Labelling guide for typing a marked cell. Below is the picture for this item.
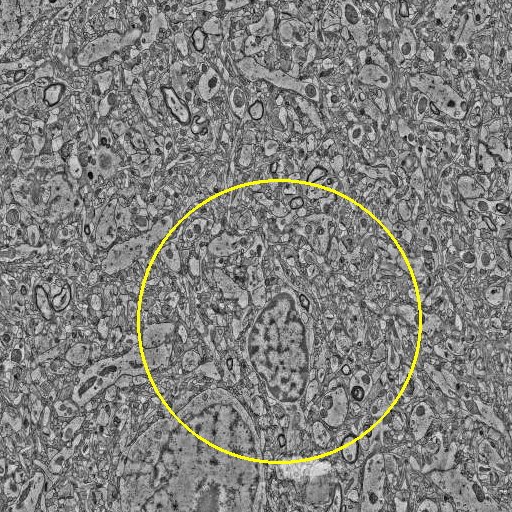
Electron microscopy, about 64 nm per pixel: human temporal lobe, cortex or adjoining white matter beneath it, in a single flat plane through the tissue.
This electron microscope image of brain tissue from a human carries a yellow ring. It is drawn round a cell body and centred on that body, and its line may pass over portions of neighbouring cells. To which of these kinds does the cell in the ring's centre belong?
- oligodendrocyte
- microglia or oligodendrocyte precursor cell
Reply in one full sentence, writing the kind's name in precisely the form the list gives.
Here we have a microglial cell or oligodendrocyte precursor cell at the centre of the yellow ring in the picture.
